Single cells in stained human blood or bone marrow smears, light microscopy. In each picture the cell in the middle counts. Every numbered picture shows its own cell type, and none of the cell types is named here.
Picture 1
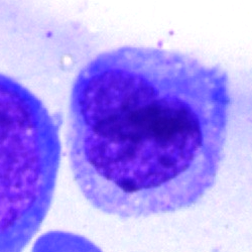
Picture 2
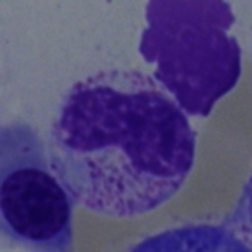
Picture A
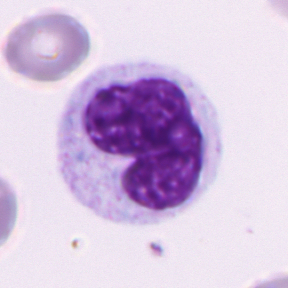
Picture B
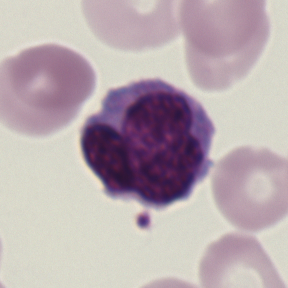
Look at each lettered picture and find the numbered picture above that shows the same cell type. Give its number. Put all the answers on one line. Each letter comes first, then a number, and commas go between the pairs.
A 2, B 1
